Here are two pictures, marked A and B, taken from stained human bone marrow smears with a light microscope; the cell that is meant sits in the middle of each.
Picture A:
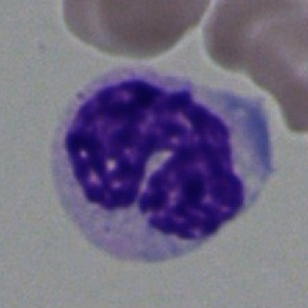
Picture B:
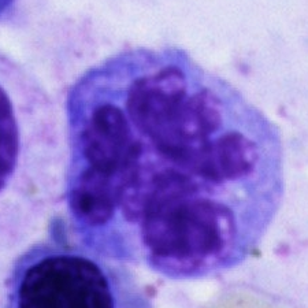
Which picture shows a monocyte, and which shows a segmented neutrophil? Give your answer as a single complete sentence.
Picture A shows a segmented neutrophil and picture B shows a monocyte.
